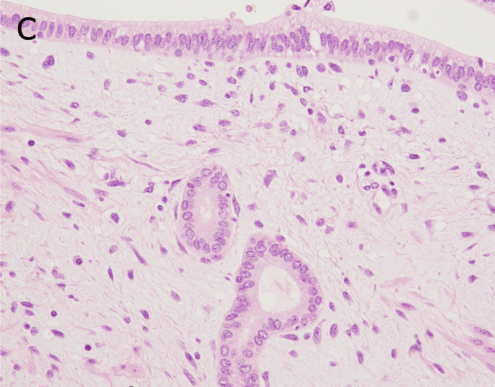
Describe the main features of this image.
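Surface lined by a single layer of cuboidal to columnar epithelial cells with pink cytoplasm and oval nuclei, over loose pale stroma. The stroma holds scattered spindle-shaped and non-specific stromal cells, with small glands lined by cuboidal cells embedded in it. Nuclei of both epithelium and stroma look bland, without atypia.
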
